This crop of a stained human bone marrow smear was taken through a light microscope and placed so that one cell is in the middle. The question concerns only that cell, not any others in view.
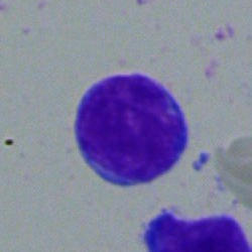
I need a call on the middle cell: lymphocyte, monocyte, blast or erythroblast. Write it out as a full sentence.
The cell at the middle of the crop is recognized as a blast.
